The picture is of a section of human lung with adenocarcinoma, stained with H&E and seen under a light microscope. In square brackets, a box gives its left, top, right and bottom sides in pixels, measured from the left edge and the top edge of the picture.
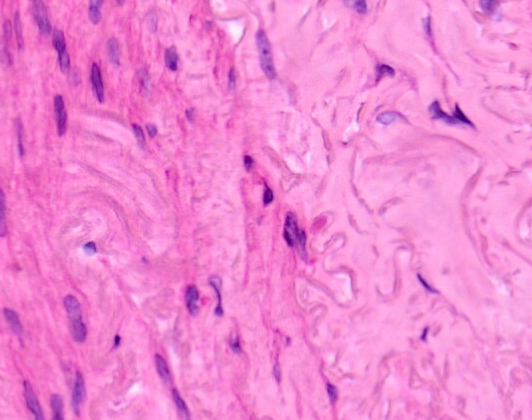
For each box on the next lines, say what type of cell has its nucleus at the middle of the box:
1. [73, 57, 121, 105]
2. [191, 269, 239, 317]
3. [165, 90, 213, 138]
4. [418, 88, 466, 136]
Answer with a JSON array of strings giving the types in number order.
["smooth muscle cell or pericyte", "smooth muscle cell or pericyte", "smooth muscle cell or pericyte", "fibroblast"]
